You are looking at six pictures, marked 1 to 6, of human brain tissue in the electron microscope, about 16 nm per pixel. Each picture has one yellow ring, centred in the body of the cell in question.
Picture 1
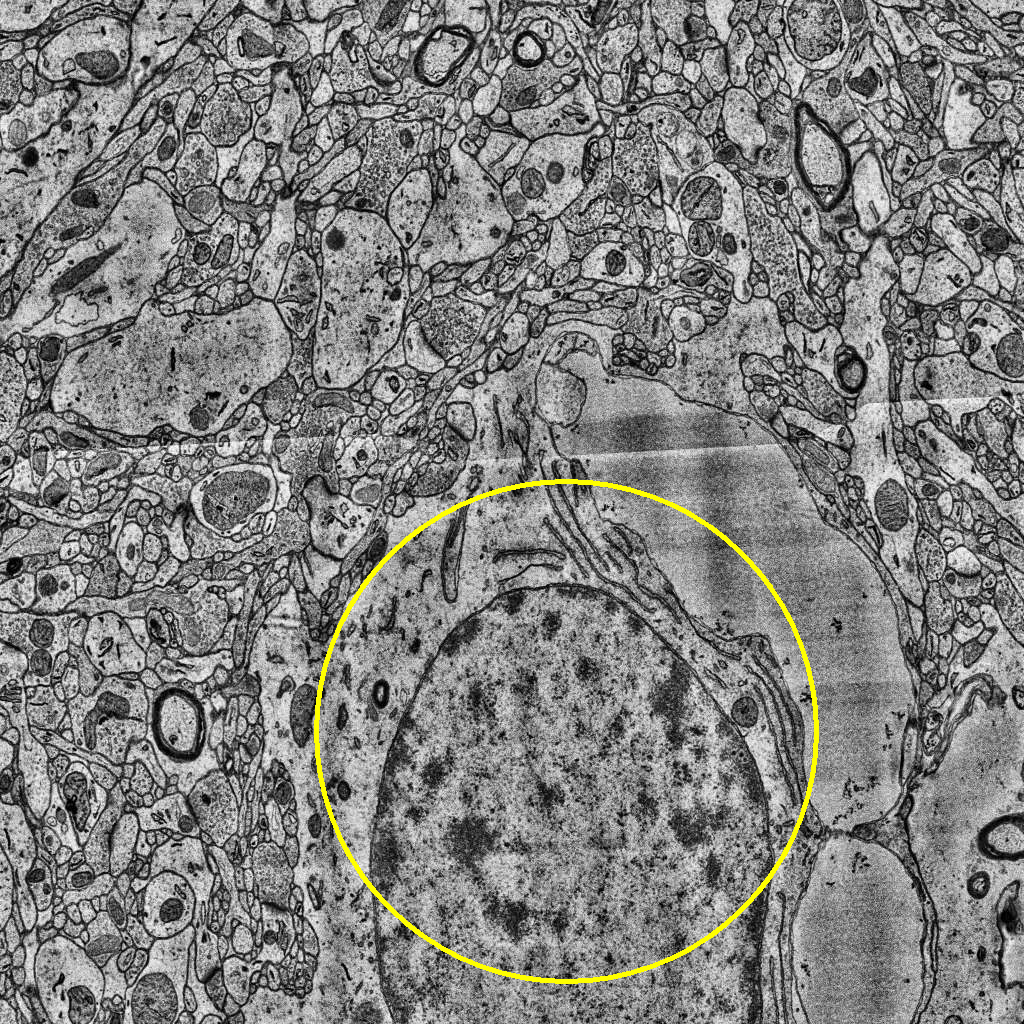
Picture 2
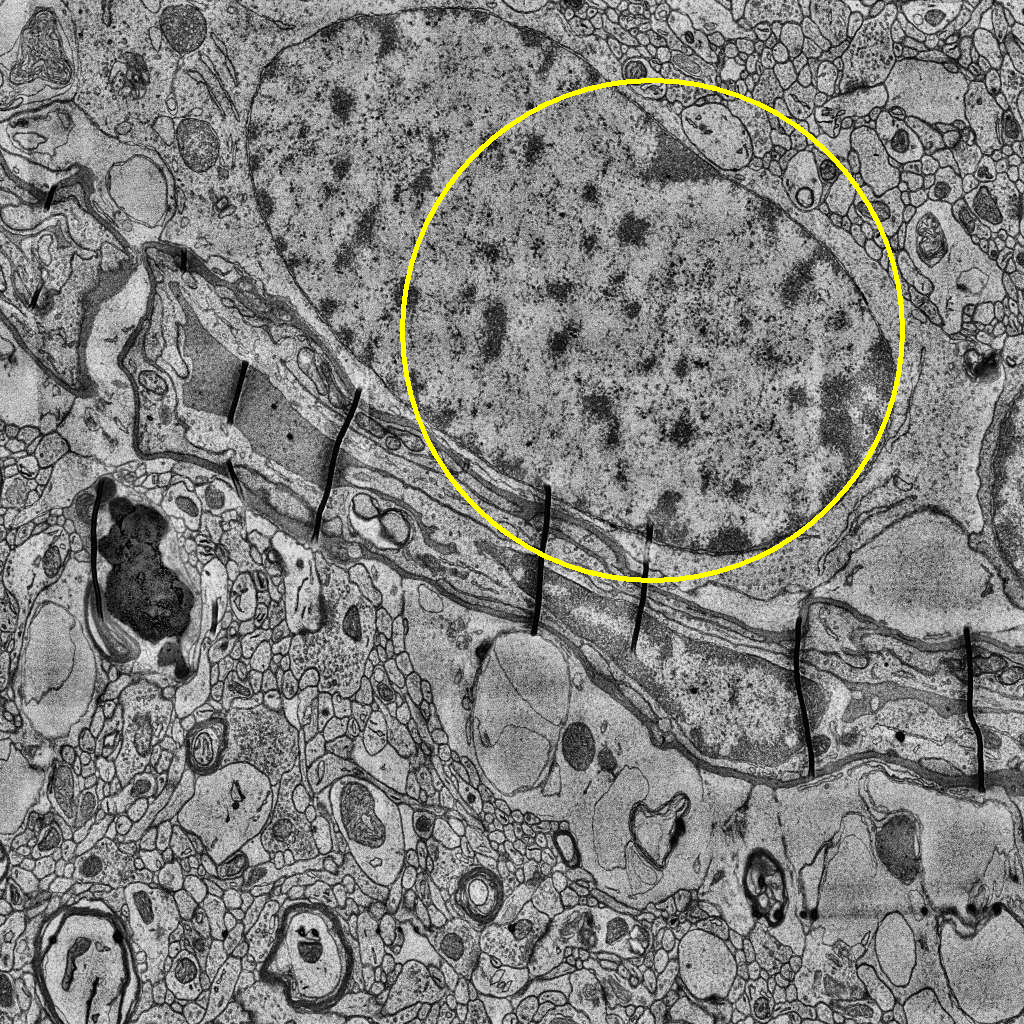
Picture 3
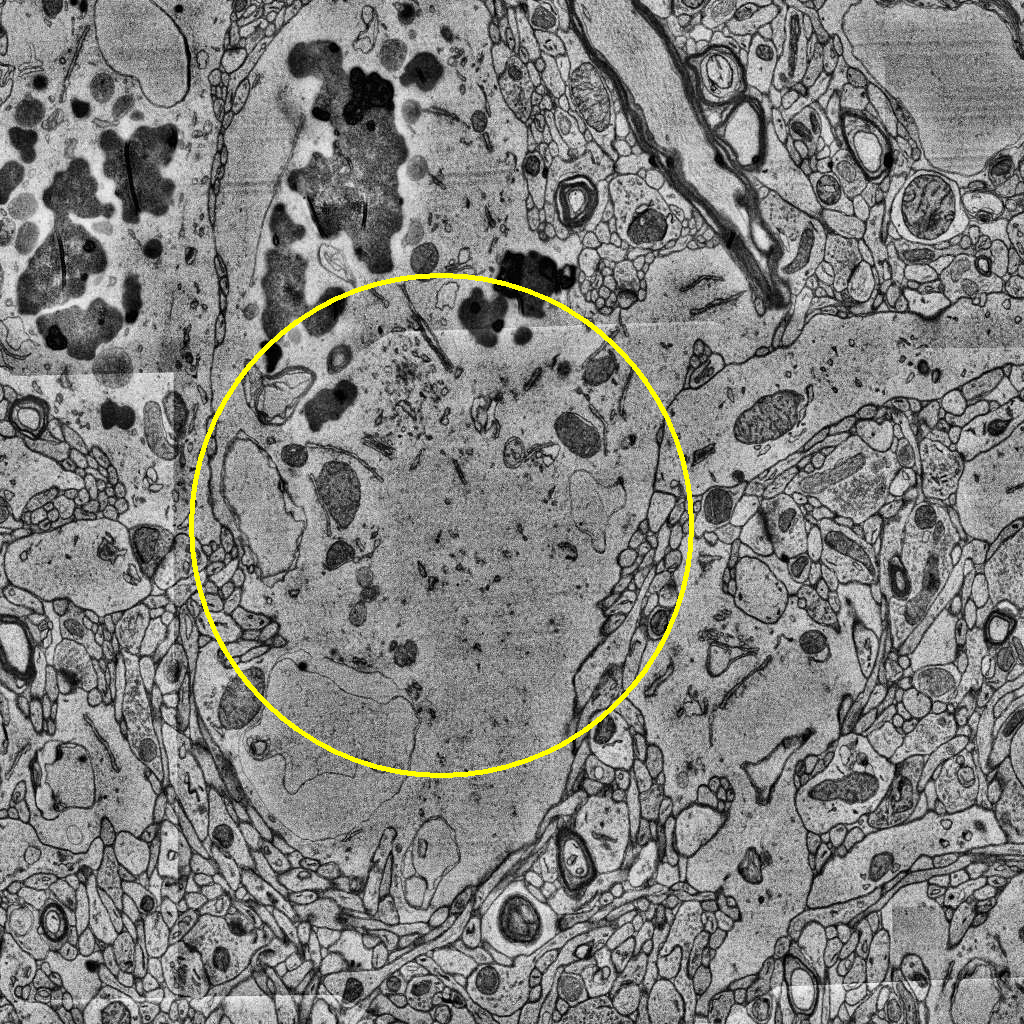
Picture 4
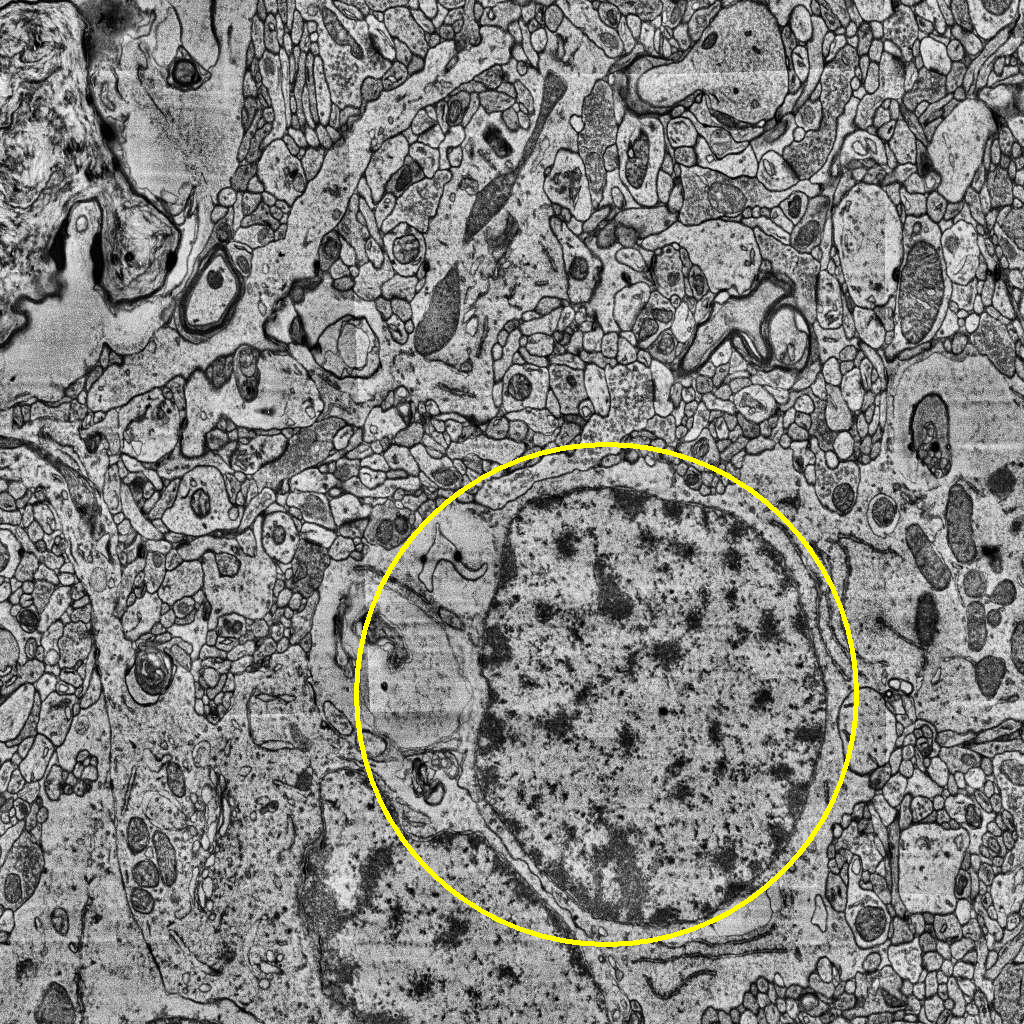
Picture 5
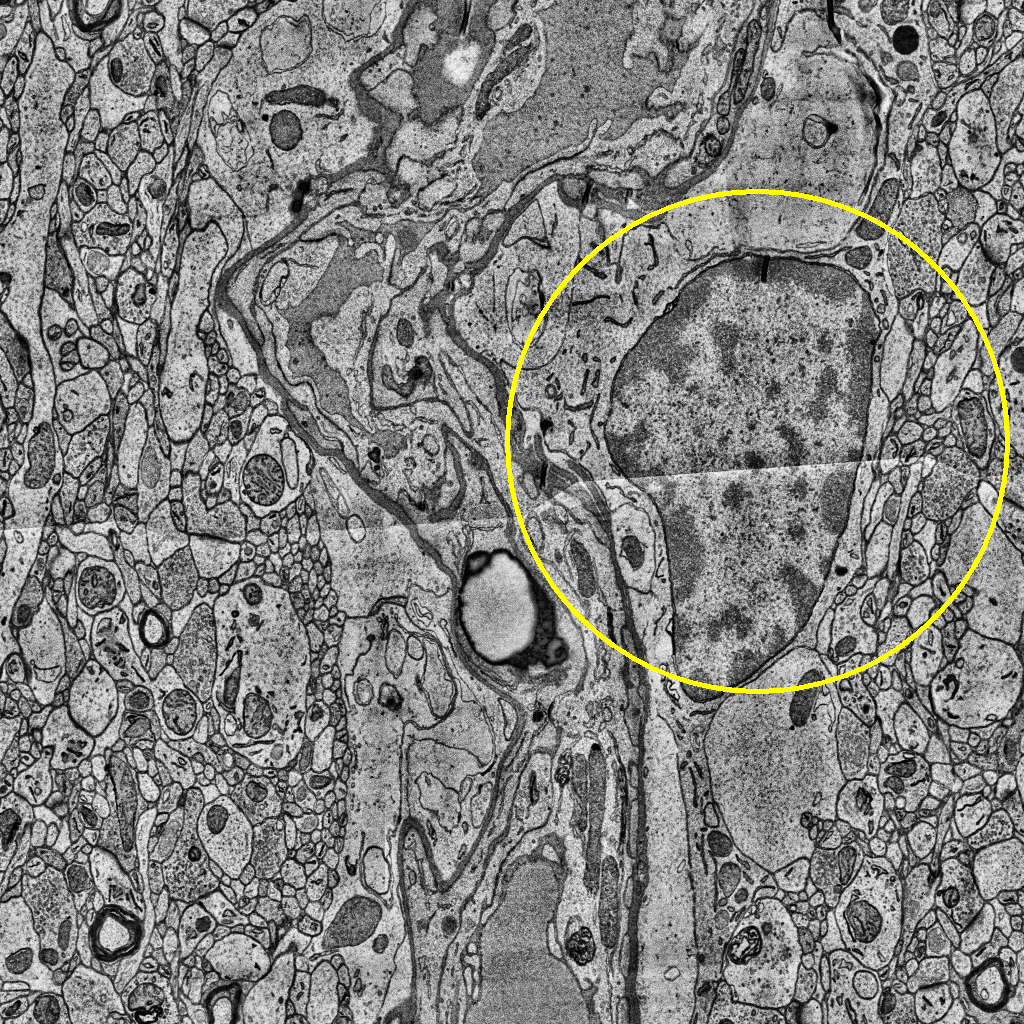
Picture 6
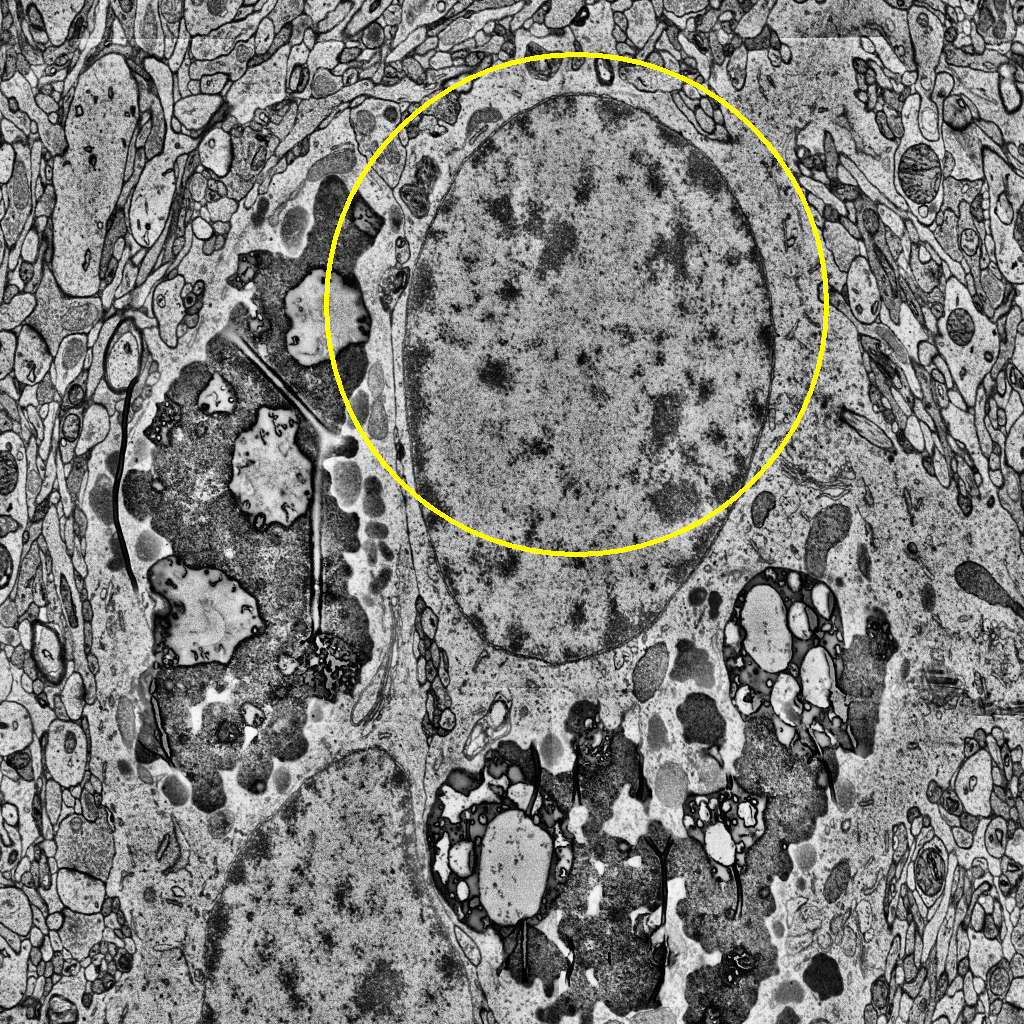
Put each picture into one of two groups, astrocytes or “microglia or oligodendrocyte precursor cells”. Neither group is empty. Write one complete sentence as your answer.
Pictures 1, 3, 4 and 6 show astrocytes; pictures 2 and 5 show “microglia or oligodendrocyte precursor cells”.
